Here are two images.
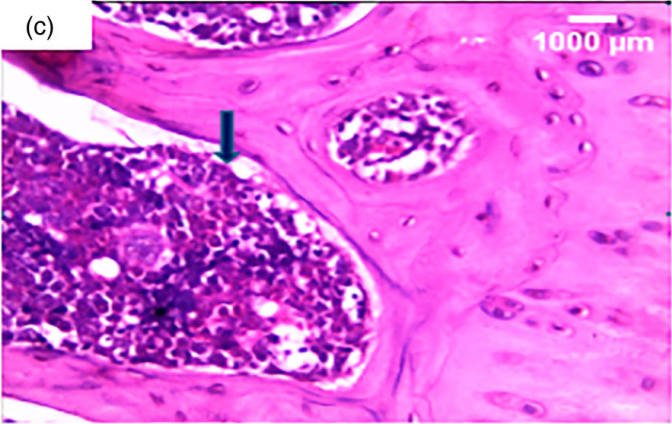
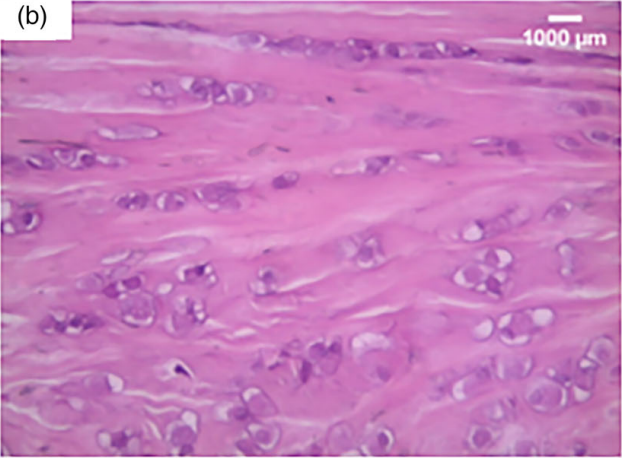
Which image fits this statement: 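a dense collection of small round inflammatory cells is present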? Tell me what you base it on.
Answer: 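The first image. Second image: only cartilage matrix with scattered chondrocytes in lacunae, no clusters of small round cells. First image: large spaces packed with many small round cells with dark nuclei.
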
